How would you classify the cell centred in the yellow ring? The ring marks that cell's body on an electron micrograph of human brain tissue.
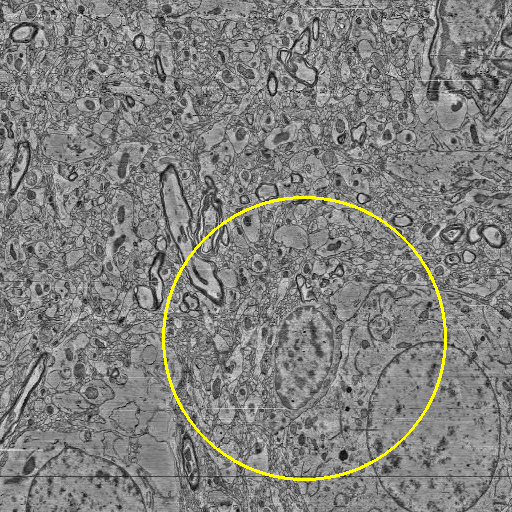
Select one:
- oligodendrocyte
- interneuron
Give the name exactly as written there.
oligodendrocyte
